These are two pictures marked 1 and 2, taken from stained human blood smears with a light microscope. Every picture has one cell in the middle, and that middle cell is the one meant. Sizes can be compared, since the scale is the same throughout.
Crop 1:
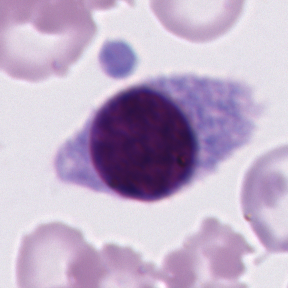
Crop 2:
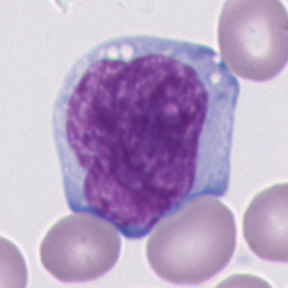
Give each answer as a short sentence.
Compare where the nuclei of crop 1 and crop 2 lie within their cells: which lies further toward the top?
Seen within its cell, the nucleus in crop 2 lies further toward the top.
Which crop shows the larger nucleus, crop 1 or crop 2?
The nucleus in crop 2 is larger, with about 2 times the area of the one in crop 1.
